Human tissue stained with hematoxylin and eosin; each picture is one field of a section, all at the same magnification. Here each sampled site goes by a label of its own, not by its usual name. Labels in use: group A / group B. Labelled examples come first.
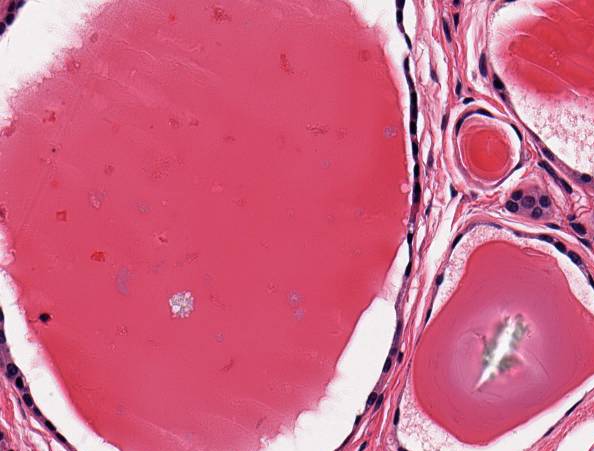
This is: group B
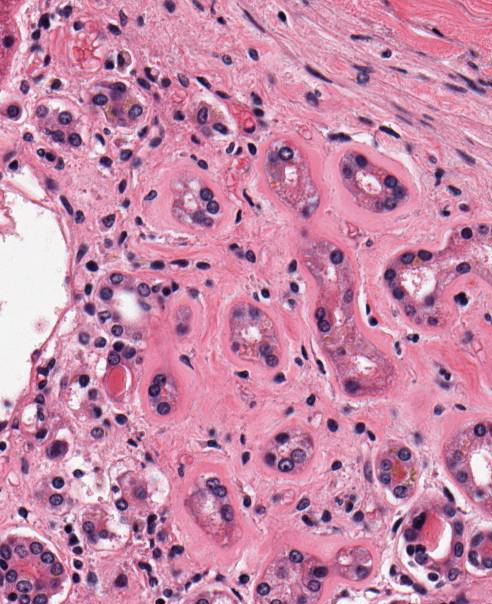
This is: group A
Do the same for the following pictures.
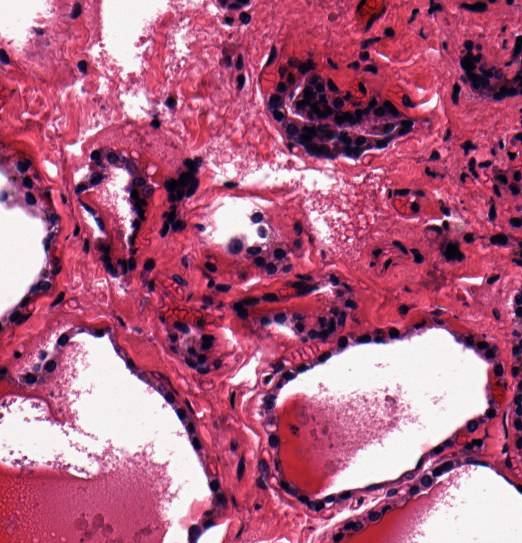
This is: group B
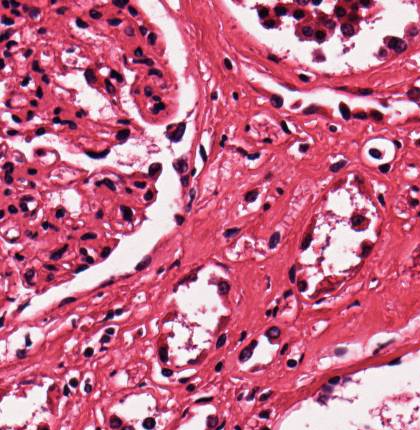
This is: group A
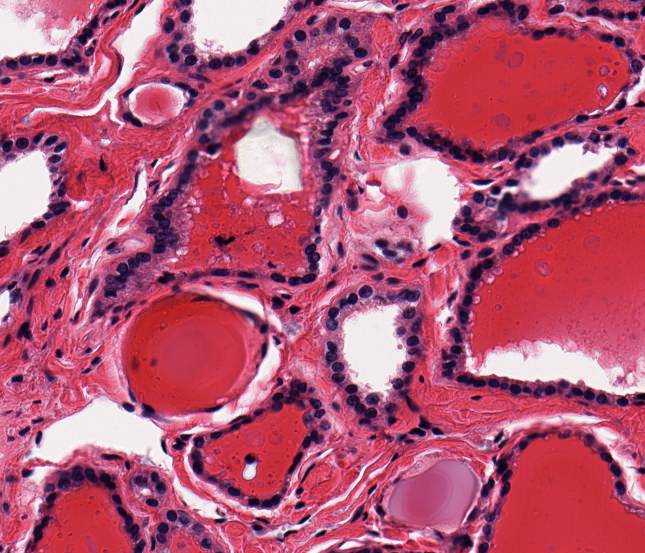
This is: group B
